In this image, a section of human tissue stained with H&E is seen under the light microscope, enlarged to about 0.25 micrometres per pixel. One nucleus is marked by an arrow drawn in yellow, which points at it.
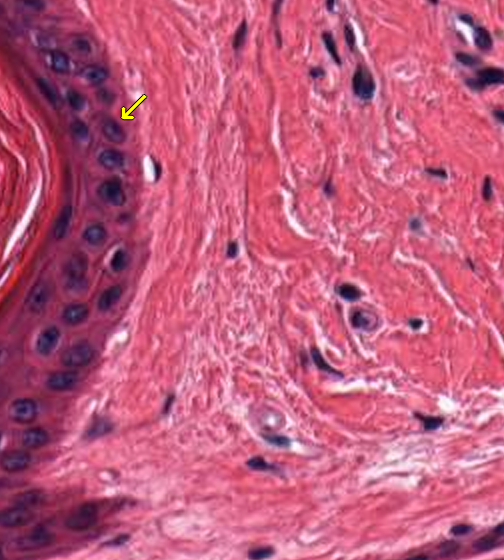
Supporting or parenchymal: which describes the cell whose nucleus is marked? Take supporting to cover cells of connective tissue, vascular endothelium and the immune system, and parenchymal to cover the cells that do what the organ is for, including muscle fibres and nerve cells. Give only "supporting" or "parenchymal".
parenchymal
